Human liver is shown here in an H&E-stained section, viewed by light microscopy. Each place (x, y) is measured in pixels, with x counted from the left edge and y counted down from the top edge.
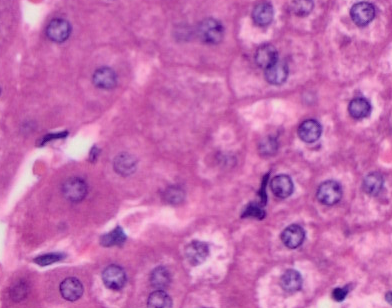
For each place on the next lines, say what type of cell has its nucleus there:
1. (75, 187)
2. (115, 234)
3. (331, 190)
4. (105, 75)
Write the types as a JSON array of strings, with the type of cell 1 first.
["hepatocyte", "endothelial cell", "hepatocyte", "hepatocyte"]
